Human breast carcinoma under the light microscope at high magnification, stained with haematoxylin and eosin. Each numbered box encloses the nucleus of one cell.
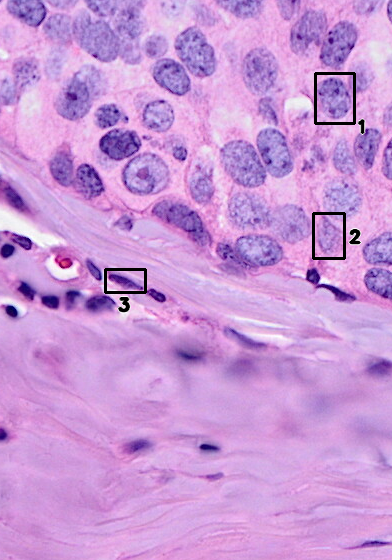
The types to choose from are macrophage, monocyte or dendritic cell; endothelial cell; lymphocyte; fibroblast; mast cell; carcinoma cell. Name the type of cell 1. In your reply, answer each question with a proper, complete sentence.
The cell to which the number 1 is assigned is a carcinoma cell.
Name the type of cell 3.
The cell carrying label 3 is identified as a fibroblast.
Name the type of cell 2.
That cell with number 2 is a carcinoma cell.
